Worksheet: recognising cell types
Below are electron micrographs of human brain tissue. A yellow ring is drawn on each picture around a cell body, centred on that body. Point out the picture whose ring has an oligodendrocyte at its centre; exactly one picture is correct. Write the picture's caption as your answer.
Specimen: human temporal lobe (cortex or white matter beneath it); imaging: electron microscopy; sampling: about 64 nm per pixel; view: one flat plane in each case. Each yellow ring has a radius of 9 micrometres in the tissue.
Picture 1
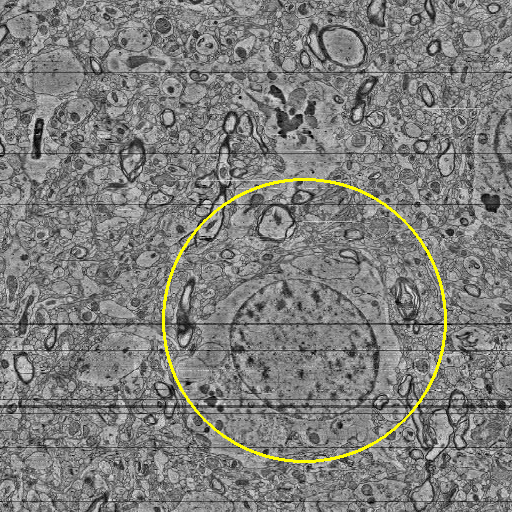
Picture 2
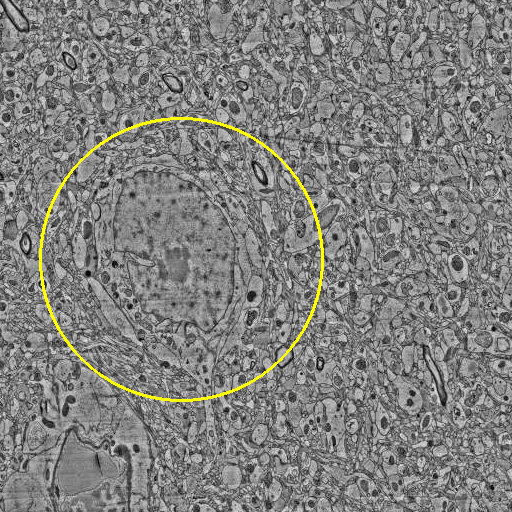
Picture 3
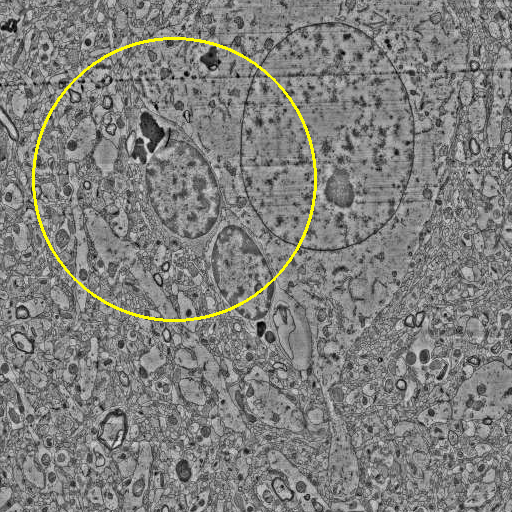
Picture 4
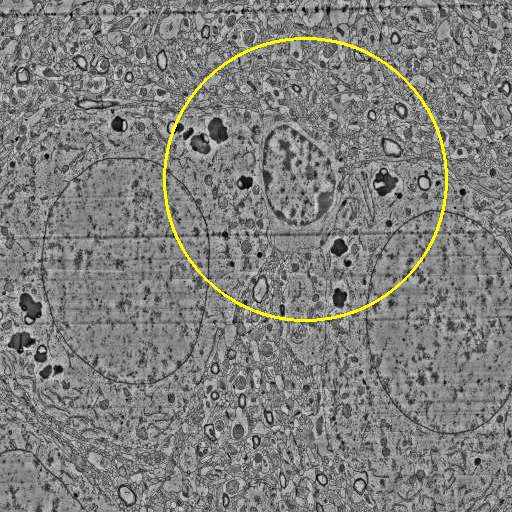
Picture 3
